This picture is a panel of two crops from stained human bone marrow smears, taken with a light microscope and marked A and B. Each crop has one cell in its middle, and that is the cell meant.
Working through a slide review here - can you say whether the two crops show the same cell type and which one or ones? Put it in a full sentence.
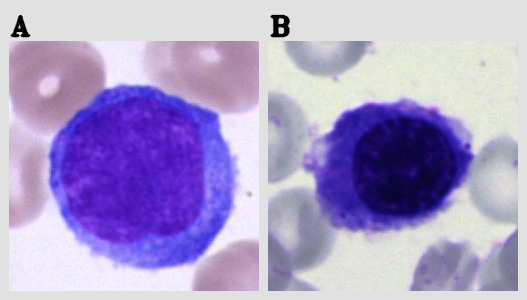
No, crop A carries a blast and crop B carries an erythroblast.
